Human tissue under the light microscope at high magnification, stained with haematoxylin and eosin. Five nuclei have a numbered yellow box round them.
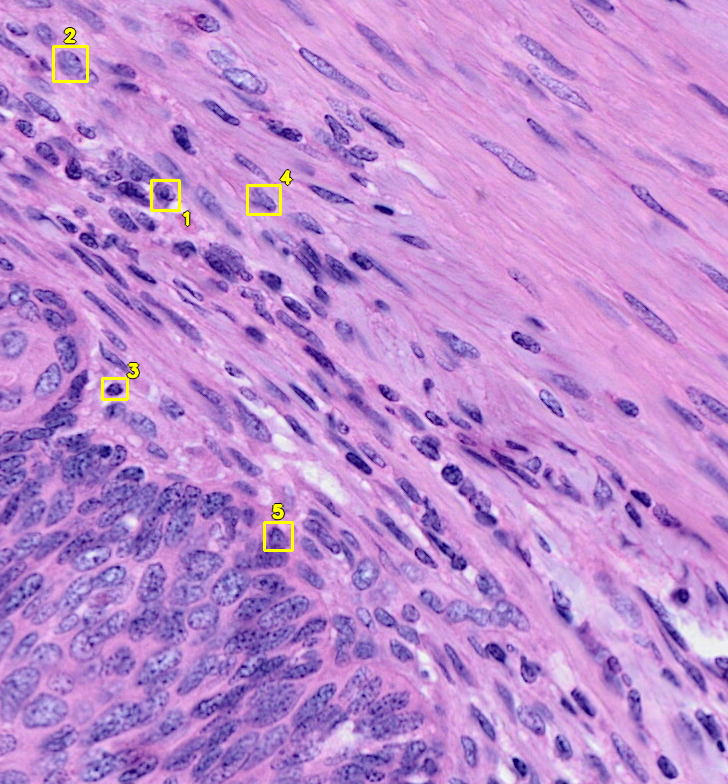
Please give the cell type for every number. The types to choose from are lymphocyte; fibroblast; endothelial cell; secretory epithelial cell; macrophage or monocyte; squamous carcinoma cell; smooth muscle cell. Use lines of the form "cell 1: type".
cell 1: lymphocyte
cell 2: smooth muscle cell
cell 3: lymphocyte
cell 4: smooth muscle cell
cell 5: squamous carcinoma cell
